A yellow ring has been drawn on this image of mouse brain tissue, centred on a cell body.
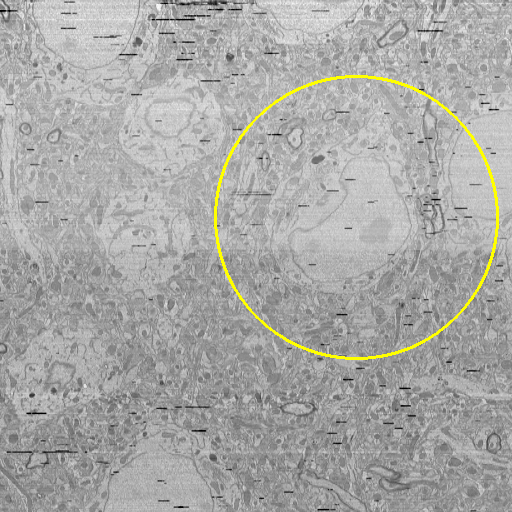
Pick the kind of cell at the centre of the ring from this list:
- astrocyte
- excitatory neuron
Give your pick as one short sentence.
The centre of the ring holds an excitatory neuron.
